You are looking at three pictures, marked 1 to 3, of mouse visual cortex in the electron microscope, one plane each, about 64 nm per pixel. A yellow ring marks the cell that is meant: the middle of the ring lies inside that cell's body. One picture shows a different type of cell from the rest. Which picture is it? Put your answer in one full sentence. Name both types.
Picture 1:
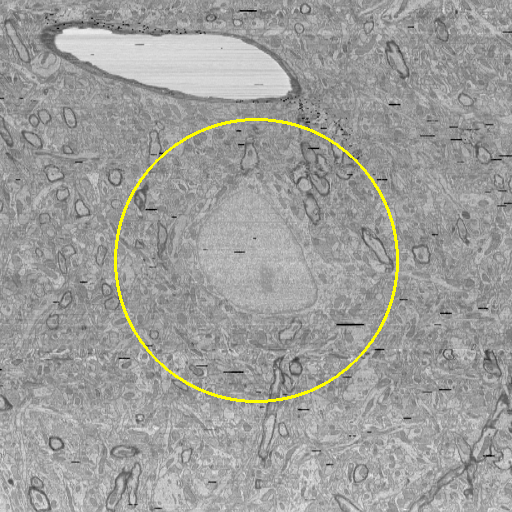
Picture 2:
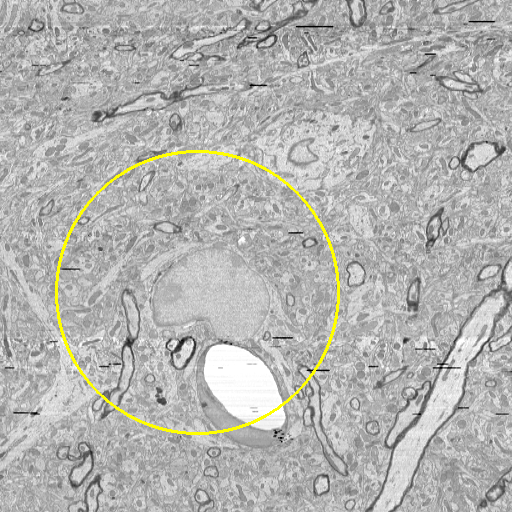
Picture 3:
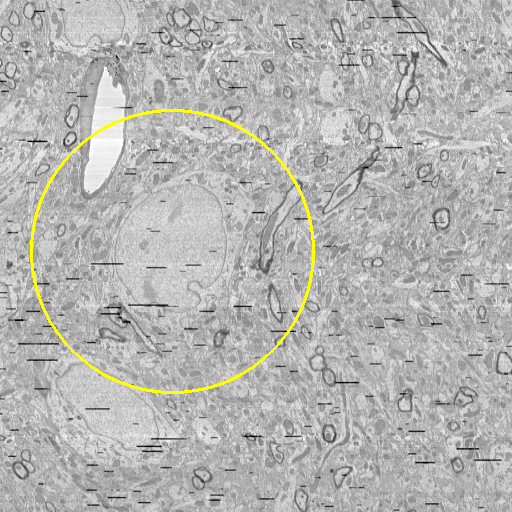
The others show astrocytes, but picture 3 shows an excitatory neuron.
